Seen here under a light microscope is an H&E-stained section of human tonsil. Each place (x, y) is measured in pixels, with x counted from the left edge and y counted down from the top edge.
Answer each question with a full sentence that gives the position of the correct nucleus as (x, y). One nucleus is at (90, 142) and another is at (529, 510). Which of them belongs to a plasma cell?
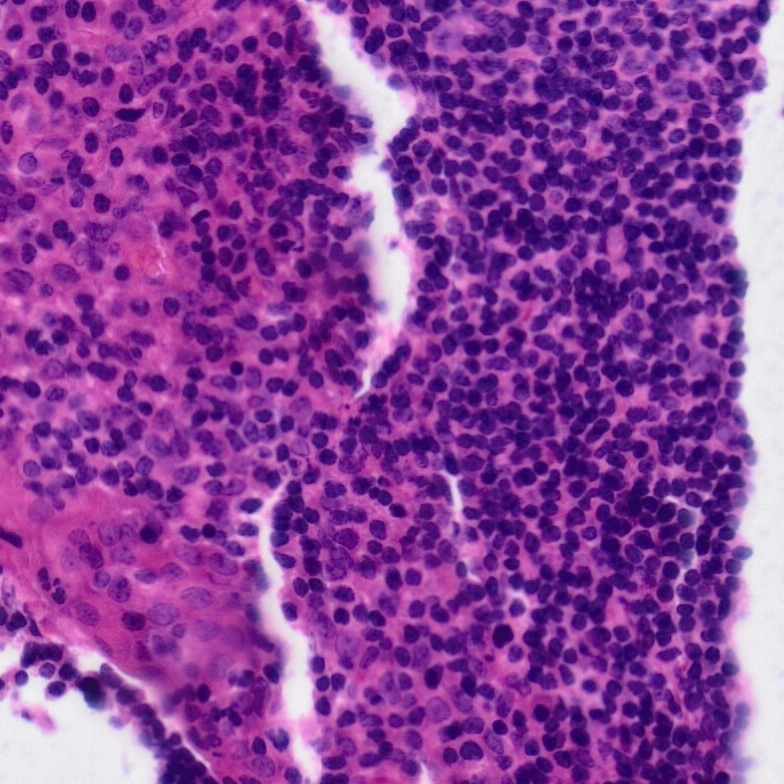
In this pair, the nucleus at (90, 142) belongs to a plasma cell.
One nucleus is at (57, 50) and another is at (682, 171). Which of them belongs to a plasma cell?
Of the two nuclei, the nucleus belonging to a plasma cell is located at (57, 50).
